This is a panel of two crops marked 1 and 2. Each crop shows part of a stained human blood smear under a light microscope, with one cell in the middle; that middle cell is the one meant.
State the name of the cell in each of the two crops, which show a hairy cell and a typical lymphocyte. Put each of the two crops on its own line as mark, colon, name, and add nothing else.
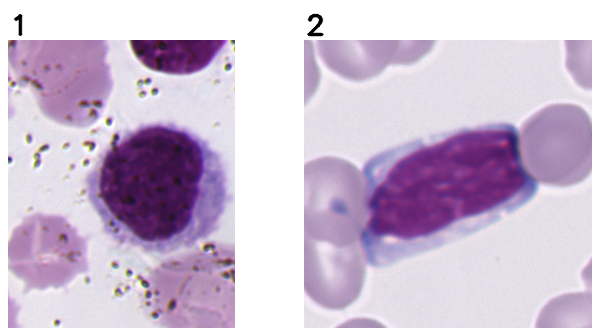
1: hairy cell
2: typical lymphocyte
